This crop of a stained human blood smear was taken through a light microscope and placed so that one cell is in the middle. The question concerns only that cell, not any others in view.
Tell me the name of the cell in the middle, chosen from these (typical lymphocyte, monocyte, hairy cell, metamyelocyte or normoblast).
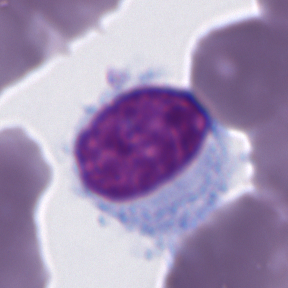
hairy cell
